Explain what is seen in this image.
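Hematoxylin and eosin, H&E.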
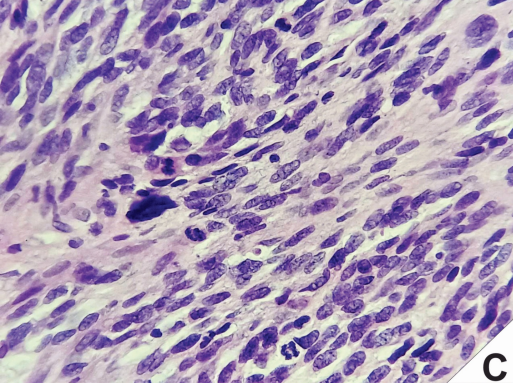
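Here spindle cells are packed closely together, streaming in bundles across the field. Their nuclei are elongated and oval, many darkly stained, and they differ somewhat in size and shape from one cell to the next. Between them lies scant pale pink cytoplasm and stroma, and at the left one nucleus stands out as much larger and very dark.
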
